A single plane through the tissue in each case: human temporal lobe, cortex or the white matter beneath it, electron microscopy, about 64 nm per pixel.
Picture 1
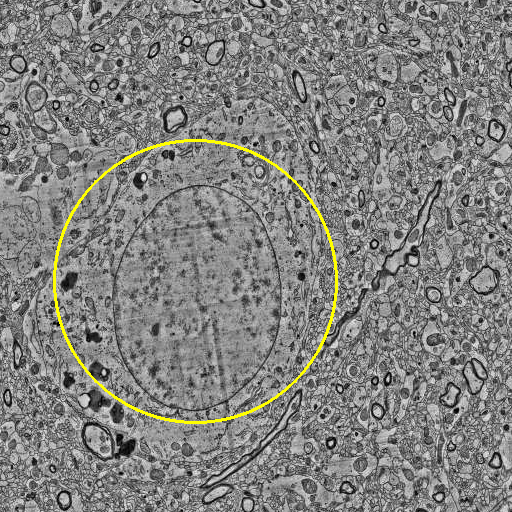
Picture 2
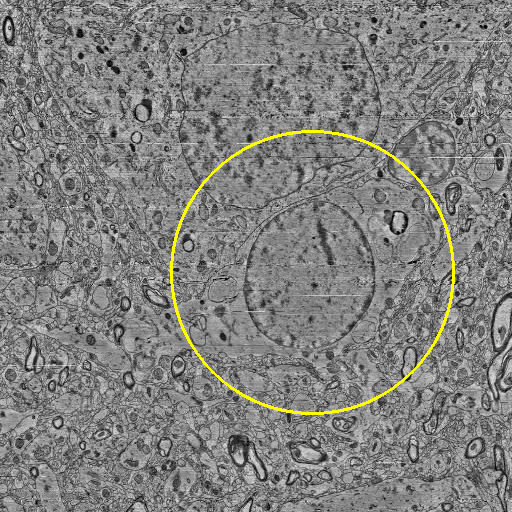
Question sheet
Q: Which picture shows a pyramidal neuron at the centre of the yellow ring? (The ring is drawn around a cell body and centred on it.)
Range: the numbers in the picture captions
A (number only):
1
